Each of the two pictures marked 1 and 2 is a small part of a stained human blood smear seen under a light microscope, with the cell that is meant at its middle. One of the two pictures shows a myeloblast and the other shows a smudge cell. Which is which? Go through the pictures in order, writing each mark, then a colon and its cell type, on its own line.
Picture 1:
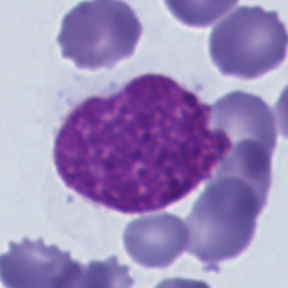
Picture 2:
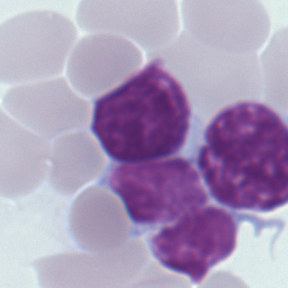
1: smudge cell
2: myeloblast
